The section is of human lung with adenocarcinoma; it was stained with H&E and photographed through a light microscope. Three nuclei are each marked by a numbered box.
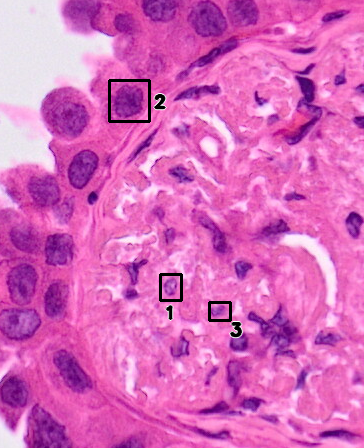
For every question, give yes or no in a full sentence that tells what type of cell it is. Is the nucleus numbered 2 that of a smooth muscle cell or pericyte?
No, as for cell 2, it is a carcinoma cell and not a smooth muscle cell or pericyte.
